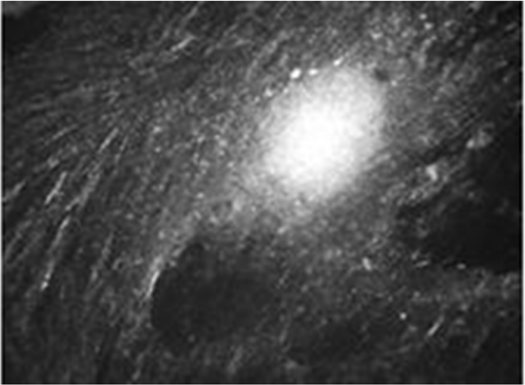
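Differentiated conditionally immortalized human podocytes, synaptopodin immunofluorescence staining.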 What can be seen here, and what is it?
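The brightest, diffuse glow lies in a rounded central region of the cell. From there, fine thread-like streaks run outward across the cytoplasm in long, roughly parallel lines. Small bright dots are scattered along these streaks and near the centre.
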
